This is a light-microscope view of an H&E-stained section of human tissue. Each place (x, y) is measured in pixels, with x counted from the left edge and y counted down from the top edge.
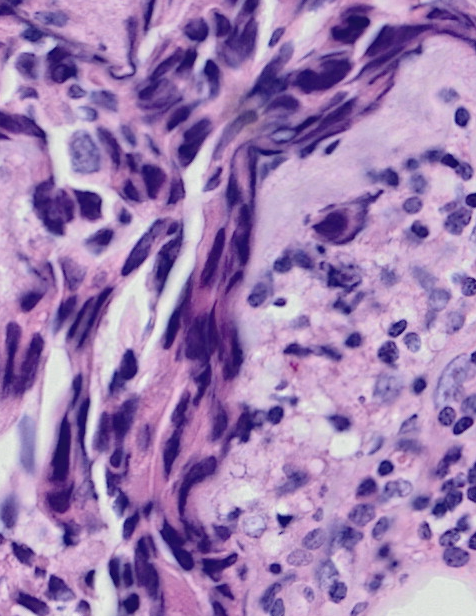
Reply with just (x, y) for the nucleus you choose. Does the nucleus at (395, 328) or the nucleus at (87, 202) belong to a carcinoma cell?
(87, 202)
